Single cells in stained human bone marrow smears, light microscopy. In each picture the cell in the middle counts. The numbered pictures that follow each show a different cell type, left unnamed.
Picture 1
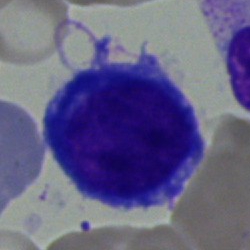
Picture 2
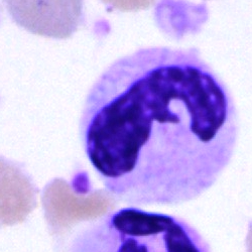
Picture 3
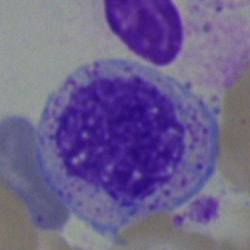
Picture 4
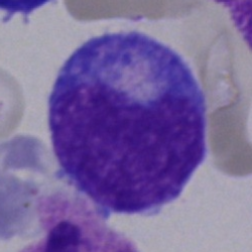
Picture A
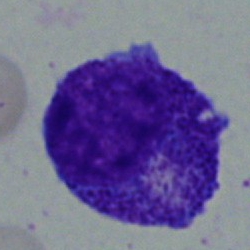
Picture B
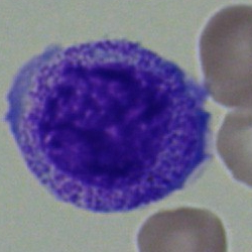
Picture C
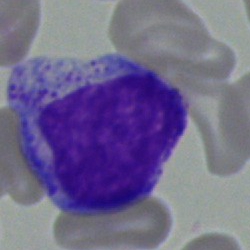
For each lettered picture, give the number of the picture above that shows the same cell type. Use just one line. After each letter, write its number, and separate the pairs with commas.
A 4, B 4, C 3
